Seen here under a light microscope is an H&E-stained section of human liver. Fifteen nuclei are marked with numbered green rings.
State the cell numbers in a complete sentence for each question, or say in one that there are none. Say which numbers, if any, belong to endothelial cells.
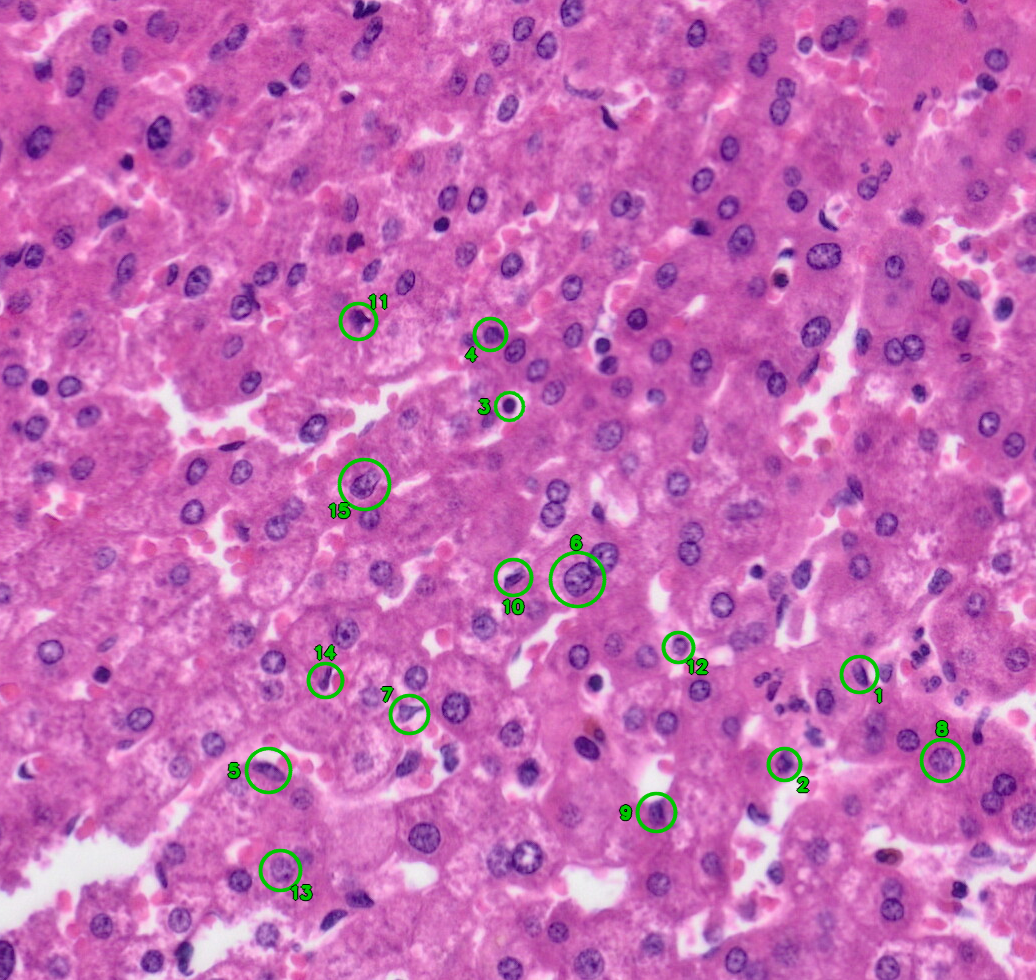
The cells numbered 7, 10, 11 and 14 are of the kind known as endothelial cells.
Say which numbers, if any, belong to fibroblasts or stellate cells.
The cells with the numbers 1, 2, 4 and 9 are fibroblasts or stellate cells.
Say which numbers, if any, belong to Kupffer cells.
Cells 5 and 12 are classified as Kupffer cells.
